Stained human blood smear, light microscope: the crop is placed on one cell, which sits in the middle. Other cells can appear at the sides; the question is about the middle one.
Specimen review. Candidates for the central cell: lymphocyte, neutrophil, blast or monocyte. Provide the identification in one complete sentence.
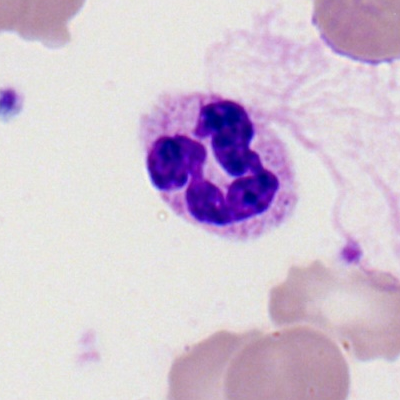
The center cell of this crop is a neutrophil.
